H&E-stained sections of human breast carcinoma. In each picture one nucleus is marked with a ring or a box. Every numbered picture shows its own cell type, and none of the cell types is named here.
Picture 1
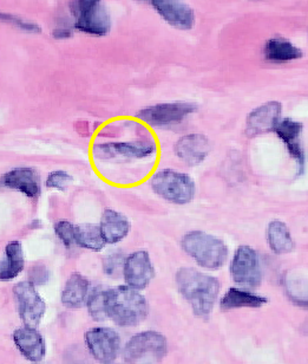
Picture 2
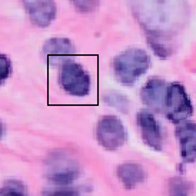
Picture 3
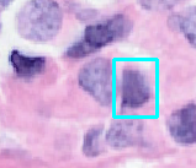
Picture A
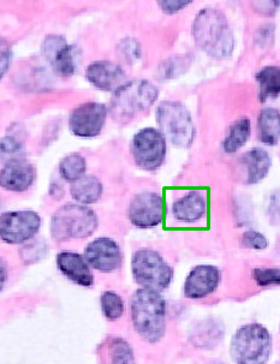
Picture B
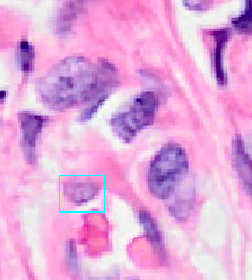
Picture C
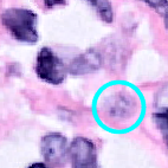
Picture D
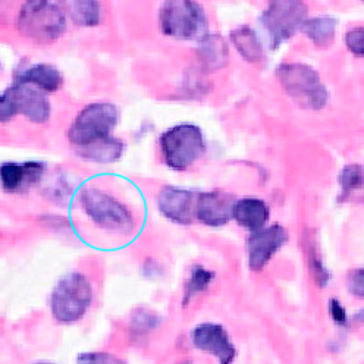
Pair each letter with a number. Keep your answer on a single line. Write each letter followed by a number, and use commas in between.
A 3, B 1, C 3, D 1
